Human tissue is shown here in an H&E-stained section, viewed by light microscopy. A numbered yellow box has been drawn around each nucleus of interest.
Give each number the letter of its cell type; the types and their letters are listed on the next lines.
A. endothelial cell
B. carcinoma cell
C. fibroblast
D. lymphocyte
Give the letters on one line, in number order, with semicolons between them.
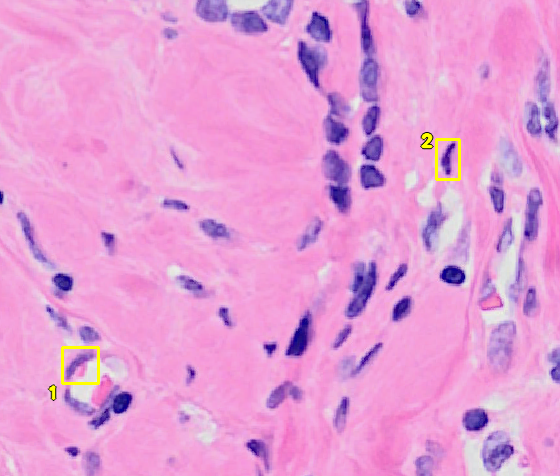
A; C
